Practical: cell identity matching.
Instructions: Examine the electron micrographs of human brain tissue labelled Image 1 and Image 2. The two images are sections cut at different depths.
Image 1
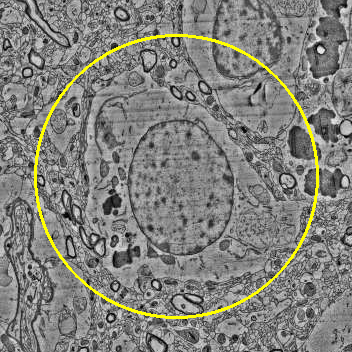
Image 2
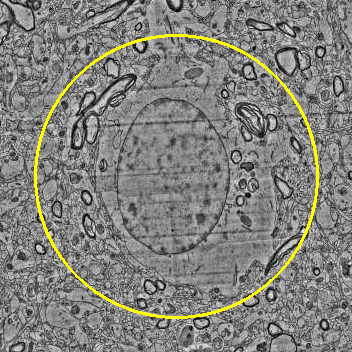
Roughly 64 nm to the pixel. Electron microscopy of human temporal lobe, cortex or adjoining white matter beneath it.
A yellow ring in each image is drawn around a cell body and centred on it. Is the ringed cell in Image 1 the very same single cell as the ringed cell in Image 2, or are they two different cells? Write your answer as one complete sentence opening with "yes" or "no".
No, the rings mark separate cells, one per ring.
